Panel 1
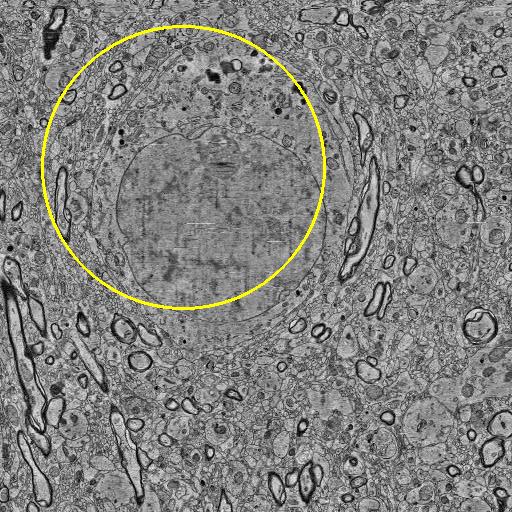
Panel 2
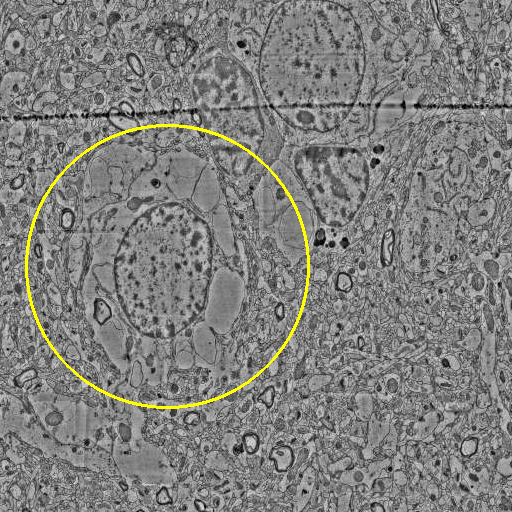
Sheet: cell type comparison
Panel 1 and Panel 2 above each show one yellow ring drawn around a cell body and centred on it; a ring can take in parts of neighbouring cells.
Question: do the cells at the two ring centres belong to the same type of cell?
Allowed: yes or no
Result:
no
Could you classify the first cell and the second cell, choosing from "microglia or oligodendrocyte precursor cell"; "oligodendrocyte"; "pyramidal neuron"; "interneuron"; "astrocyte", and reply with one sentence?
The second cell is an astrocyte, while the first is a pyramidal neuron.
